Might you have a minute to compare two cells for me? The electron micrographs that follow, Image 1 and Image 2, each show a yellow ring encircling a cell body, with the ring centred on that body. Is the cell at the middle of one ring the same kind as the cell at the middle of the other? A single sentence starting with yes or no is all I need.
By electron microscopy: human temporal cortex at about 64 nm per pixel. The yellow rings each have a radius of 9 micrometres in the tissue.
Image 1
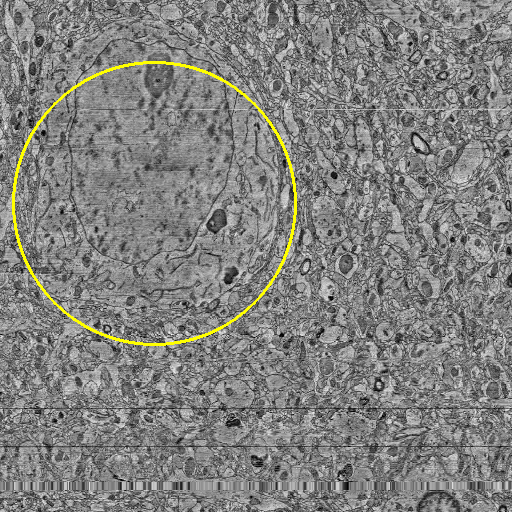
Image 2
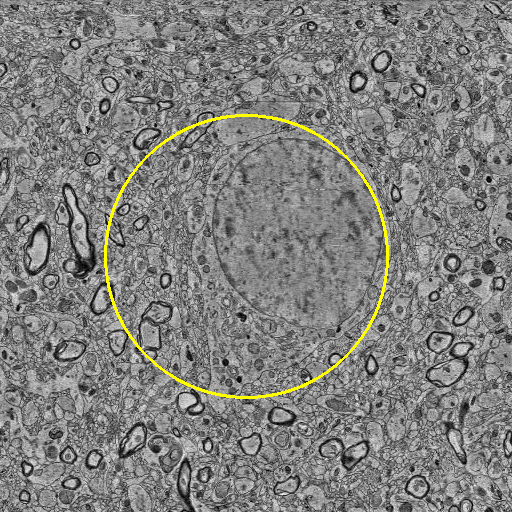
No, the cells in the middle of the two rings are of two separate kinds.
